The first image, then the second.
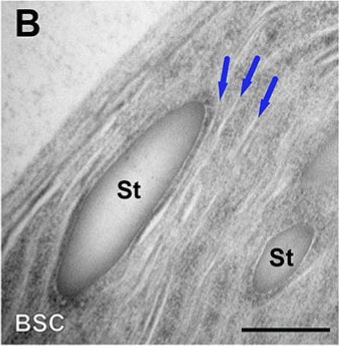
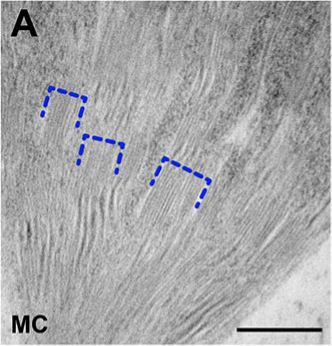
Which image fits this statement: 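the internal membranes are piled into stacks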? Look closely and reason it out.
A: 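The second image. First image: internal membranes run as separate single lines around pale oval bodies. Second image: many internal membranes are grouped into dense parallel stacks.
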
